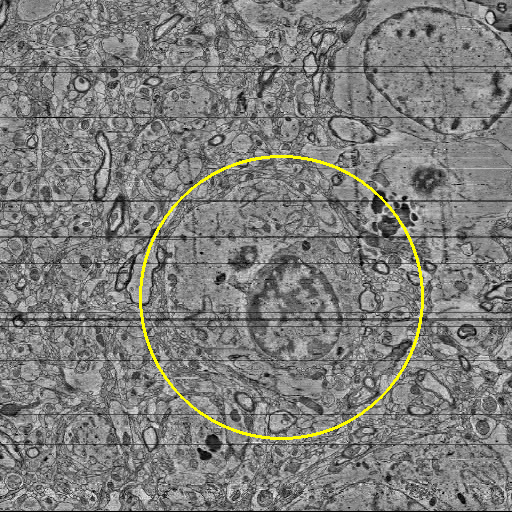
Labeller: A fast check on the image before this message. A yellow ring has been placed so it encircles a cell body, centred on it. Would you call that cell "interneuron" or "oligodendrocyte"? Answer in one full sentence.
In this image, an oligodendrocyte is the cell on which the yellow ring is centred.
